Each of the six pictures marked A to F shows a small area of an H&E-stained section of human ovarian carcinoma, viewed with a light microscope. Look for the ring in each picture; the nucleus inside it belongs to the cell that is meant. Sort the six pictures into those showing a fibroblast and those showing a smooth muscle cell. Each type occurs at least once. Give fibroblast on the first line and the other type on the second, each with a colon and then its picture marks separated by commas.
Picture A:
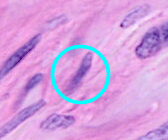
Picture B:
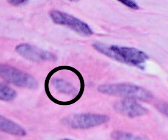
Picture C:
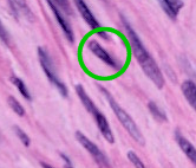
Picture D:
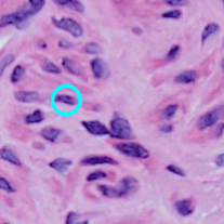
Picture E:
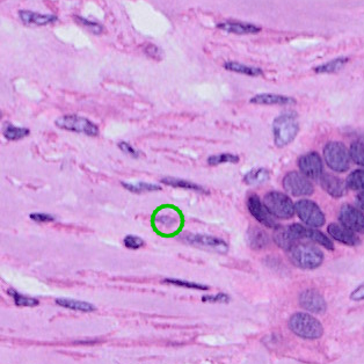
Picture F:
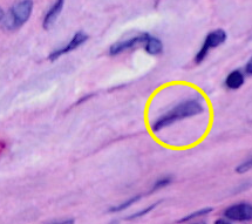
fibroblast: E, F
smooth muscle cell: A, B, C, D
